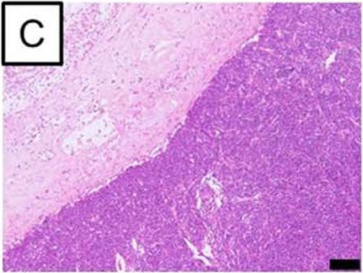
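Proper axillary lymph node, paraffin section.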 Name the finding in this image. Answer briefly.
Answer: Necrosis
